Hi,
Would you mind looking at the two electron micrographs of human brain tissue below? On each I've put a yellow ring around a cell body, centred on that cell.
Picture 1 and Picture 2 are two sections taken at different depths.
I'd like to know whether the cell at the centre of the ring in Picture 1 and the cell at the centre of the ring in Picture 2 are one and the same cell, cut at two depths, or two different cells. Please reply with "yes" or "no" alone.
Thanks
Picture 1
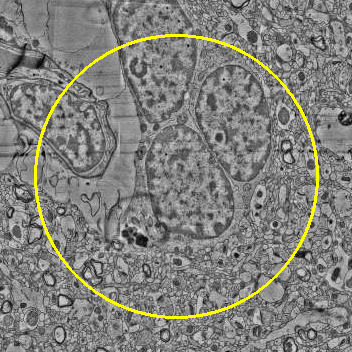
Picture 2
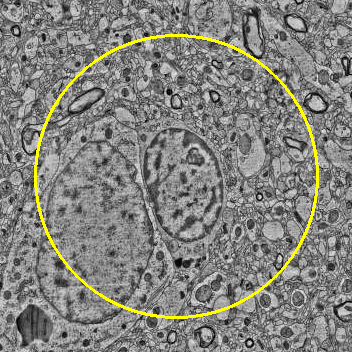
no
